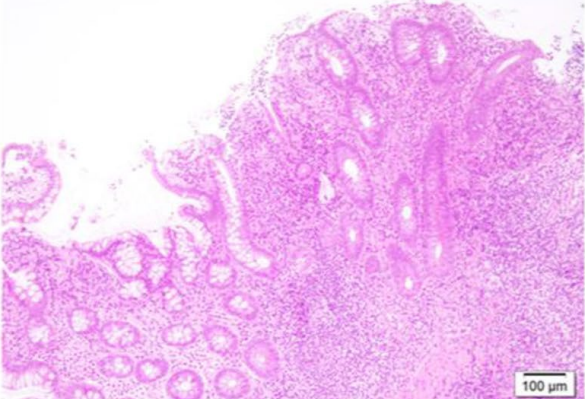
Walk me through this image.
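This is intestinal mucosa in which the crypts and surface epithelium contain pale goblet cells at the left, while the right part of the section is crowded with densely packed small dark nuclei of inflammatory cells. In the inflamed area the crypts are sparse, narrowed and distorted, and the surface epithelium is lost over part of the mucosa. Rounded crypts cut in cross-section lie in the lower left.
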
